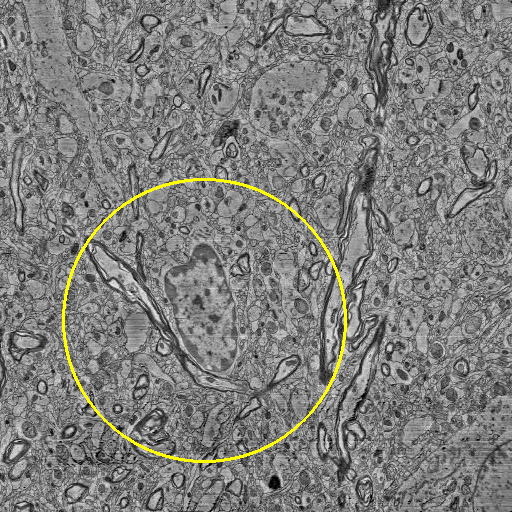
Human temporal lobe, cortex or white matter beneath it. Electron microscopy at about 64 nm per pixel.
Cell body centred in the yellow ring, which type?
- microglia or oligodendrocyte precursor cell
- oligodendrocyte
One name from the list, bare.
microglia or oligodendrocyte precursor cell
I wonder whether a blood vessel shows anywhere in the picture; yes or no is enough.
No, none shows.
